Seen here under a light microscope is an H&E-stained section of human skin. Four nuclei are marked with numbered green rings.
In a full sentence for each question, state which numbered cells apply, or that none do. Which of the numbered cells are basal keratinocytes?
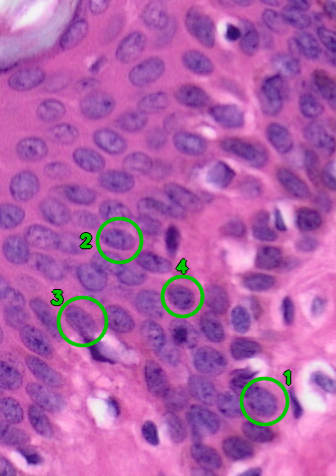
The numbers 1, 3 and 4 mark cells that are basal keratinocytes.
